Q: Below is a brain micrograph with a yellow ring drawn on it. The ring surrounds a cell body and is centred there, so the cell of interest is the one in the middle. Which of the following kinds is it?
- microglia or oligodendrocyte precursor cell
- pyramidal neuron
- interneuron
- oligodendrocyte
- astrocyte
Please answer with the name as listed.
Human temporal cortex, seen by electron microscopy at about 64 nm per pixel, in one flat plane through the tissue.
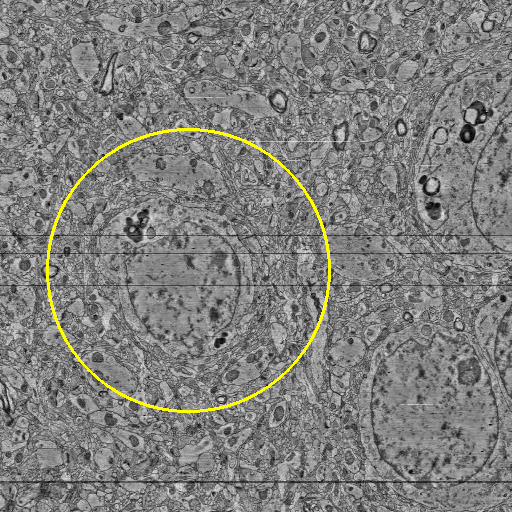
interneuron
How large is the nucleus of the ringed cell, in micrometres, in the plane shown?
Approximately 8 micrometres long and 7 micrometres wide, in this plane.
